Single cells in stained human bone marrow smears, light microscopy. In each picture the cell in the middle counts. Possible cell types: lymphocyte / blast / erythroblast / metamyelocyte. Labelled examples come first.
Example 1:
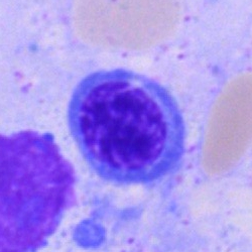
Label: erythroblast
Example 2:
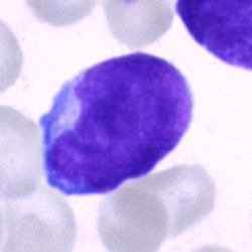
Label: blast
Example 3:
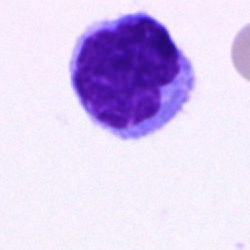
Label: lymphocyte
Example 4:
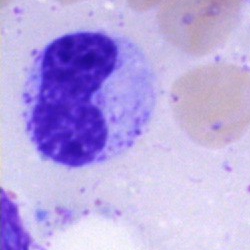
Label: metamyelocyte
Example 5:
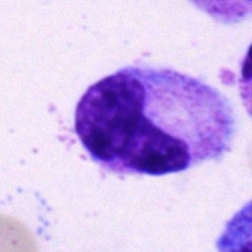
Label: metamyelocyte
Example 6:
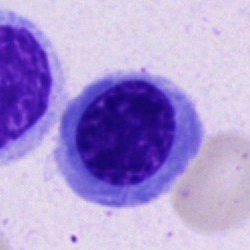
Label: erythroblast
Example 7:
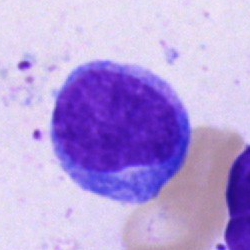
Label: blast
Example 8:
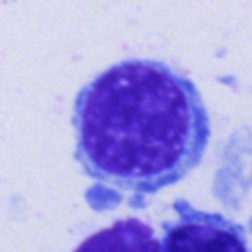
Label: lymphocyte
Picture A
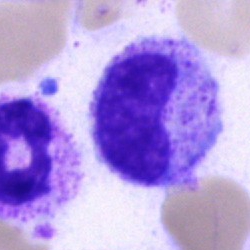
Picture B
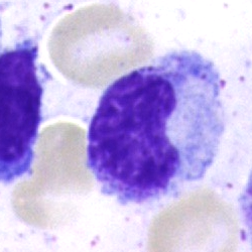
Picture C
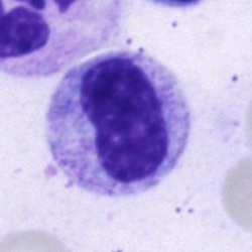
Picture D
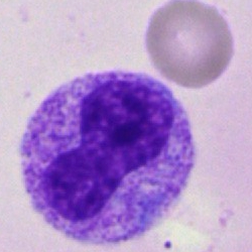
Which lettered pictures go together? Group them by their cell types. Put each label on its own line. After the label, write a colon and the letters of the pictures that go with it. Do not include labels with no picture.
metamyelocyte: A, B, C, D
